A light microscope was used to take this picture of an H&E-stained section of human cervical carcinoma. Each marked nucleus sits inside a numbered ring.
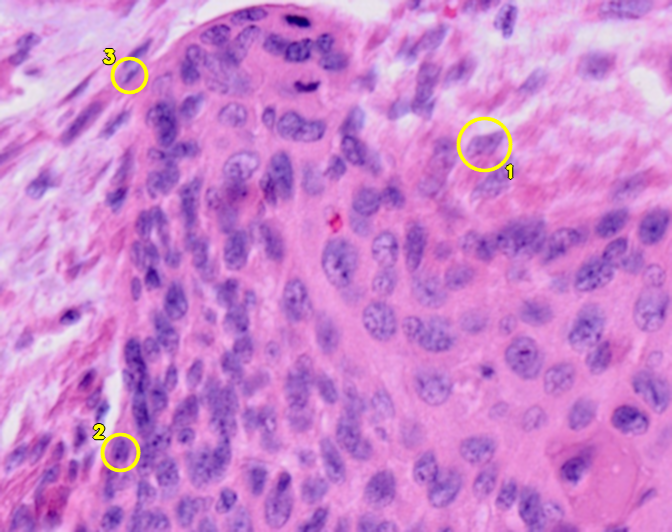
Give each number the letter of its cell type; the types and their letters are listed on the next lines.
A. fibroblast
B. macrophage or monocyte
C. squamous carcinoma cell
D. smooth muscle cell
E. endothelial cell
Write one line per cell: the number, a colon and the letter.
1: A
2: C
3: E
